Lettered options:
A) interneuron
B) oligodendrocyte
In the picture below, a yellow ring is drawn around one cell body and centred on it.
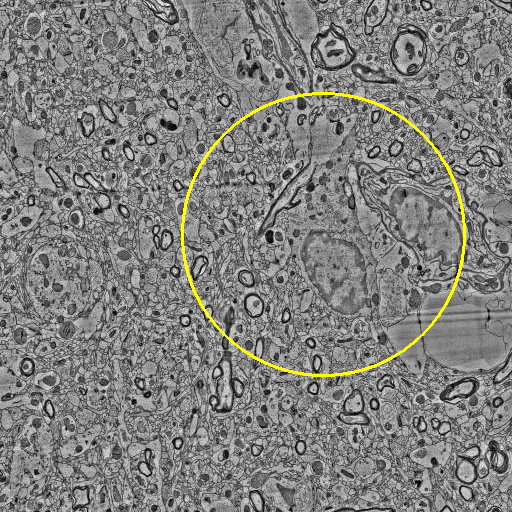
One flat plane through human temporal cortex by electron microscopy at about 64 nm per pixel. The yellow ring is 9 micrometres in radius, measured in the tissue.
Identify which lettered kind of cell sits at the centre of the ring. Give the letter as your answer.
B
